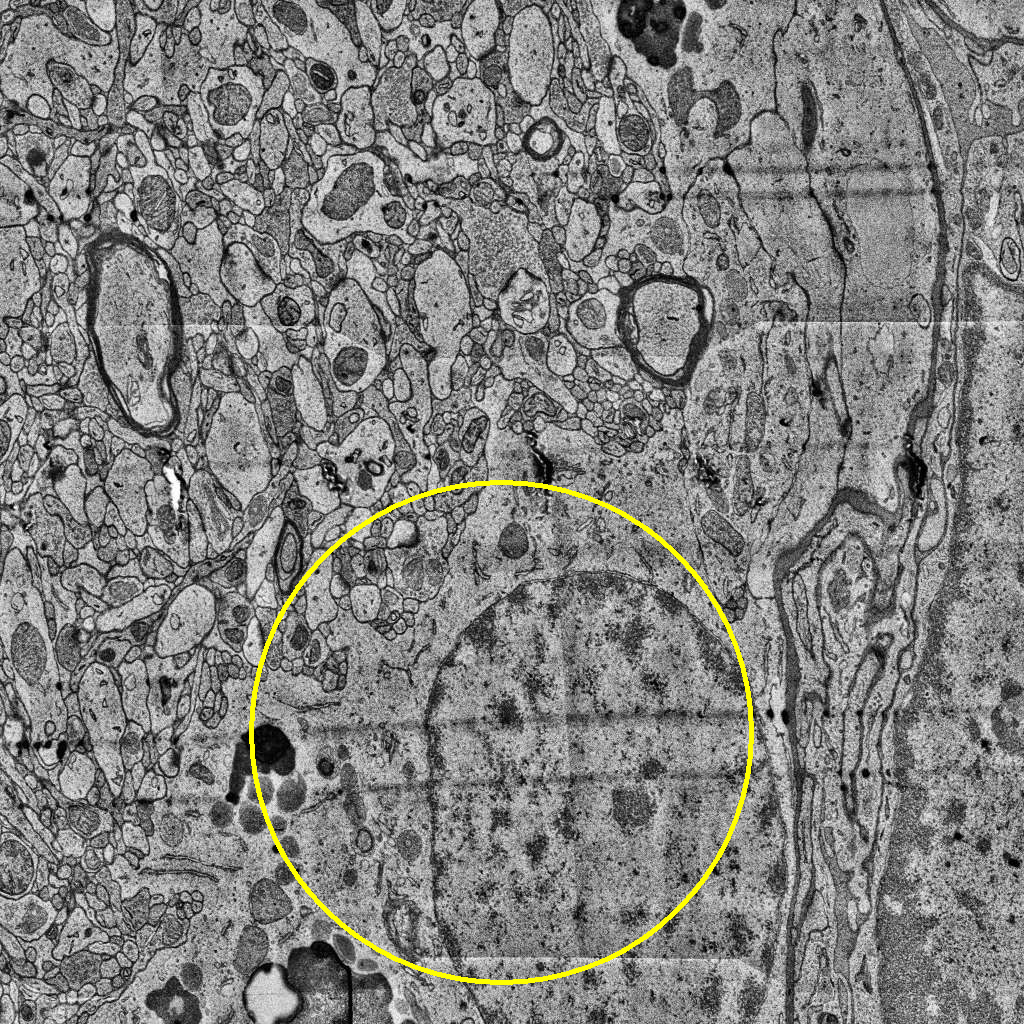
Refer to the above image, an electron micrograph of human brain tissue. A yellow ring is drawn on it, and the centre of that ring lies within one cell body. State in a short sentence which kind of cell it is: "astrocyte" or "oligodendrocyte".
The centre of the ring falls on an astrocyte.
